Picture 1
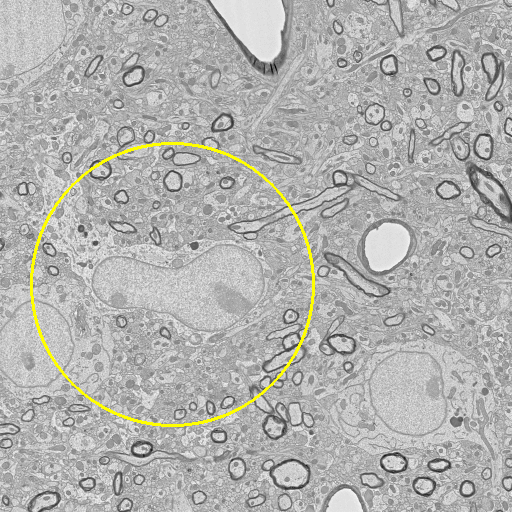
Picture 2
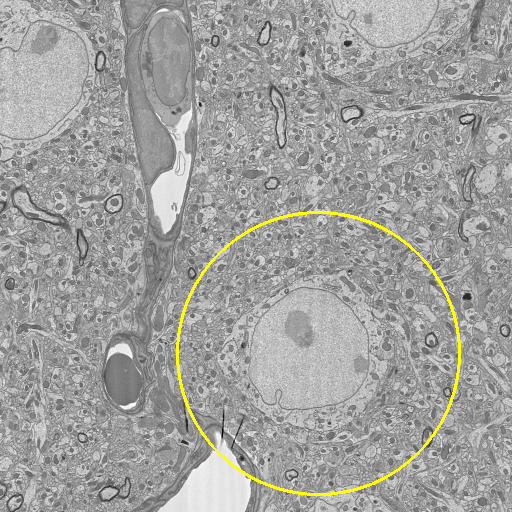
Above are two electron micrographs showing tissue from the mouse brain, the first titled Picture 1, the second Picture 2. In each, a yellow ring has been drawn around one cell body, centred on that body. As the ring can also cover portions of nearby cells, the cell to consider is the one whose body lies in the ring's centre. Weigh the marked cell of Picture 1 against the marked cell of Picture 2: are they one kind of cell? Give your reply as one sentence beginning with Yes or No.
No, the two cells sitting at the ring centres in the pictures are of two kinds.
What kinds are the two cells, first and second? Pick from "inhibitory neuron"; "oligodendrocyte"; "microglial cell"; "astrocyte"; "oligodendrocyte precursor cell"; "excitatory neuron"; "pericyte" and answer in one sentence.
The second picture holds an excitatory neuron in its ring, and the first holds an astrocyte.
